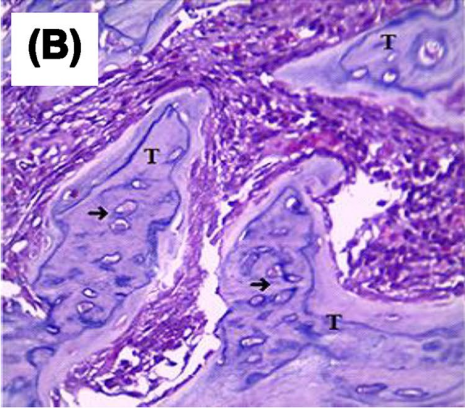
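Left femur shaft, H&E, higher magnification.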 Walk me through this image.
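Bone trabeculae with enlarged lacunae, set in densely cellular tissue. The trabeculae stain unevenly bluish to pink and hold many clear, rounded to irregular spaces, some with cells. Between the trabeculae lies a dense mass of small cells with dark nuclei and pink-purple tissue. The edges of the bony pieces are irregular.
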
